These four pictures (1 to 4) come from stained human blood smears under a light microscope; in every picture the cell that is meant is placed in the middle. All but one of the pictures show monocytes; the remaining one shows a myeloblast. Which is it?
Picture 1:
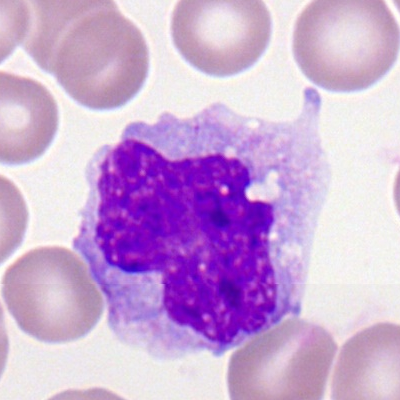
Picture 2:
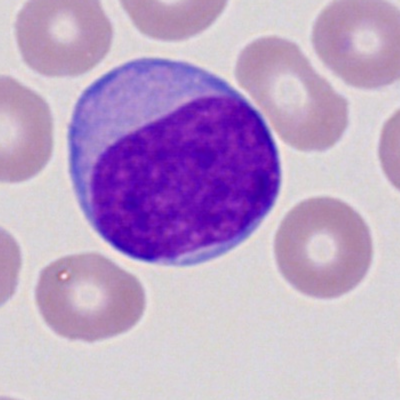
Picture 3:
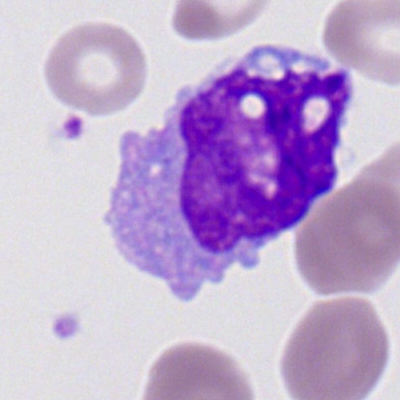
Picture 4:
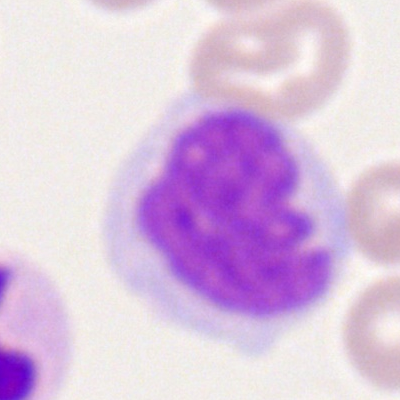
2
